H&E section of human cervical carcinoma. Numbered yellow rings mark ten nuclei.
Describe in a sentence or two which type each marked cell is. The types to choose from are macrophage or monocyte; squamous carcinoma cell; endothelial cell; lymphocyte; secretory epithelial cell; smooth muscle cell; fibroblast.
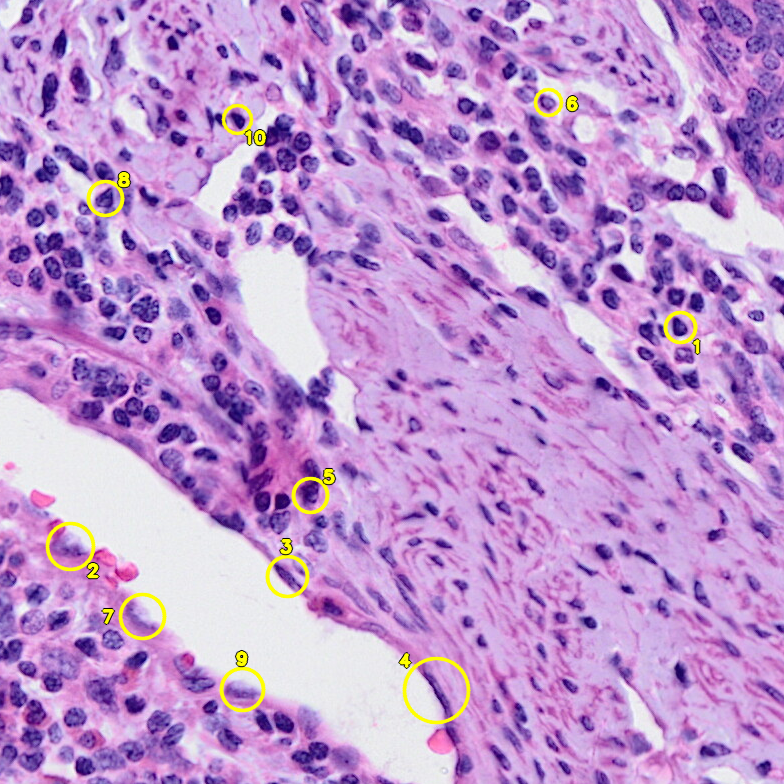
Cell 1 is a lymphocyte, cell 2 is an endothelial cell, cell 3 is an endothelial cell, cell 4 is an endothelial cell, cell 5 is a lymphocyte, cell 6 is a lymphocyte, cell 7 is an endothelial cell, cell 8 is a lymphocyte, cell 9 is an endothelial cell and cell 10 is a lymphocyte.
